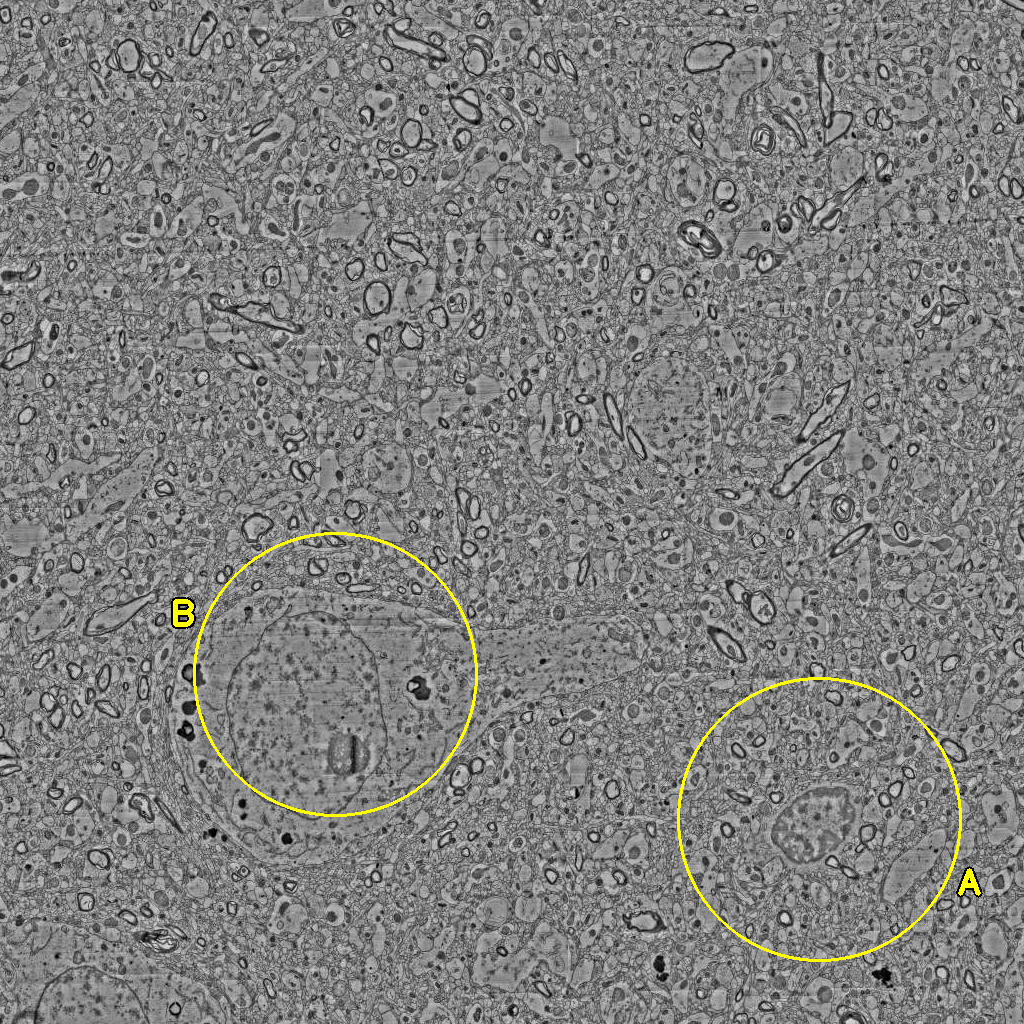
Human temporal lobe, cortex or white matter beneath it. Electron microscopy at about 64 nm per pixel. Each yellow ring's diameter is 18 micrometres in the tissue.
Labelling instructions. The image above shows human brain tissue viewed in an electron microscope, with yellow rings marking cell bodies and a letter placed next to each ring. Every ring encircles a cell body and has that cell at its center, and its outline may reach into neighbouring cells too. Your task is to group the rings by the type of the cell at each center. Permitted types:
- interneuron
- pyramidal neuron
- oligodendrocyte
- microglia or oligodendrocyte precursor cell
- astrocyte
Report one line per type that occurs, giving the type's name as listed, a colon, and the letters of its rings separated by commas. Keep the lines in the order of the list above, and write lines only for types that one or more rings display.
pyramidal neuron: B
oligodendrocyte: A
